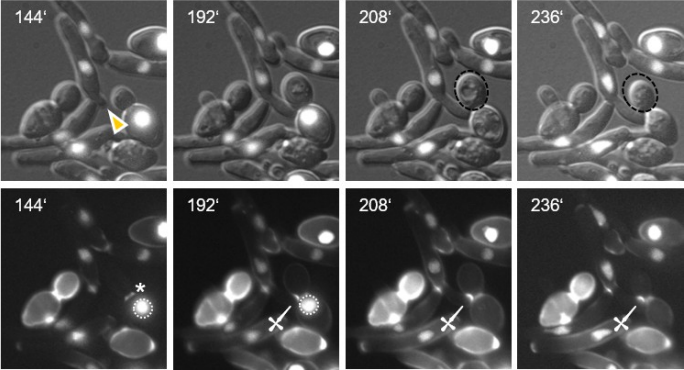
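A small bud emerges from the side of one cell, and a large-budded ovoid cell carries a single bright nucleus and a bright wall ring at its bud neck. Later the ovoid cell loses its bright nuclear spot and becomes shrunken and granular where an elongated cell touches it.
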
